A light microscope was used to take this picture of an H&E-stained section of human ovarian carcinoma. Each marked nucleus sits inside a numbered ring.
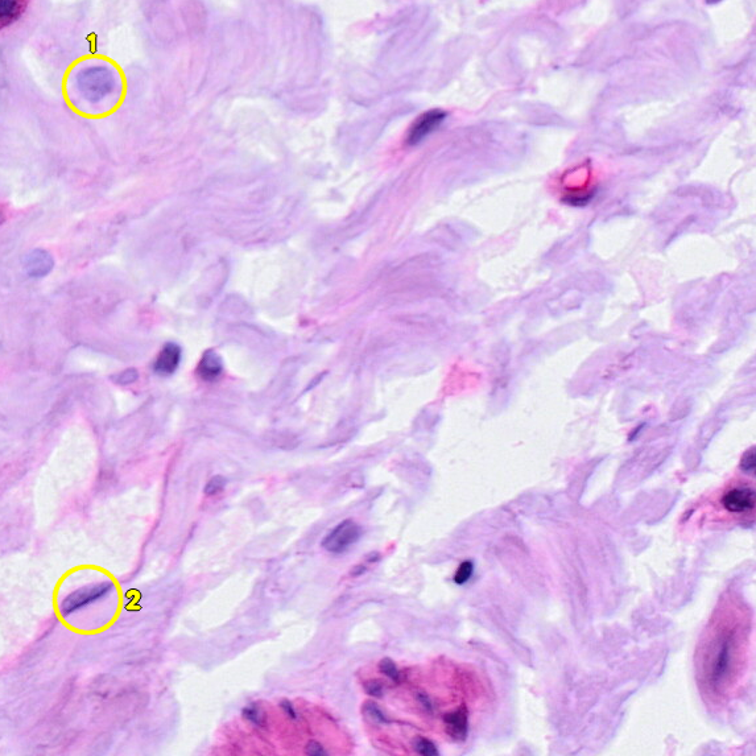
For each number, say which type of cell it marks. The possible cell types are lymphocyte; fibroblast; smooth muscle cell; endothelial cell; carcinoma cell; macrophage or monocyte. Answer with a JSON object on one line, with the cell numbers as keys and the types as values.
{"1": "fibroblast", "2": "endothelial cell"}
